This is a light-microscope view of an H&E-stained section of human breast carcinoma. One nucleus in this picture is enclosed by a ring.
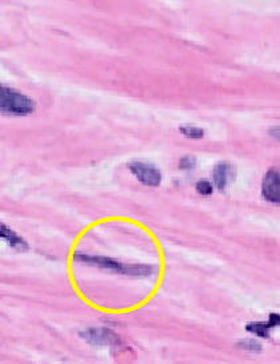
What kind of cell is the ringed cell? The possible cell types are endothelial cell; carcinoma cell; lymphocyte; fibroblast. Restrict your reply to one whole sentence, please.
By cell type, the ringed cell is a fibroblast.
